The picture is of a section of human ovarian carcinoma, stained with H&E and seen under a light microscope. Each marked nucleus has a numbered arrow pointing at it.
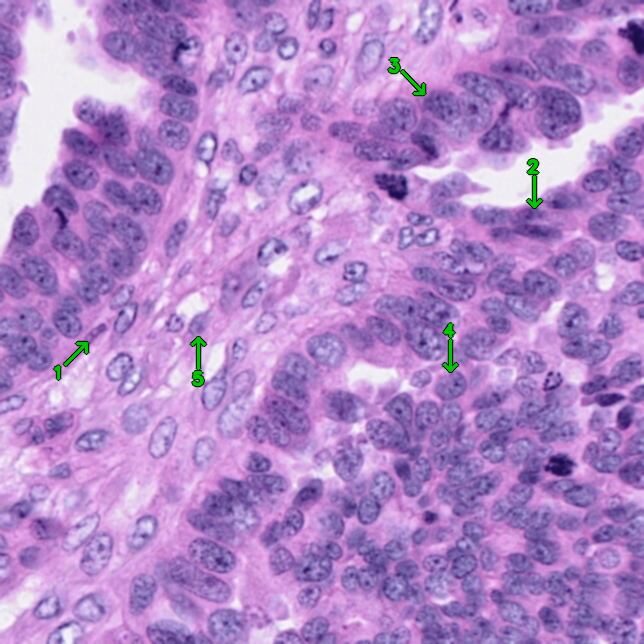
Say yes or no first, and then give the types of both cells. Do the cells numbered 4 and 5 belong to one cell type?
No, unlike cell 5, which is a fibroblast, cell 4 is a carcinoma cell.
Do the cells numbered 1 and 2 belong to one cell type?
No, cell 1 is identified as a fibroblast, and cell 2 is identified as a carcinoma cell.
